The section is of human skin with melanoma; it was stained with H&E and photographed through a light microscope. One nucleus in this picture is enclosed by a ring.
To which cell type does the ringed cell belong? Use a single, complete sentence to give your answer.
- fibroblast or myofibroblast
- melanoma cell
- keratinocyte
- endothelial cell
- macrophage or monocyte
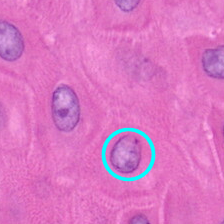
In this tissue section, the ringed cell is to be classed as a keratinocyte.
